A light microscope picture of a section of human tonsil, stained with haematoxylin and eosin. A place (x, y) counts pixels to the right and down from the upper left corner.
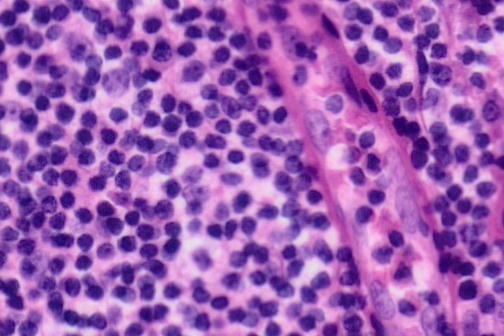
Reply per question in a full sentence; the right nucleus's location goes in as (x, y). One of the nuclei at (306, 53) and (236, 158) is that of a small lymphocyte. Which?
The correct choice is the nucleus at (236, 158), which belongs to a small lymphocyte.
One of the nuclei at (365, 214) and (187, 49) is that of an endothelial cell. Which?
Belonging to an endothelial cell is the nucleus at (365, 214).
